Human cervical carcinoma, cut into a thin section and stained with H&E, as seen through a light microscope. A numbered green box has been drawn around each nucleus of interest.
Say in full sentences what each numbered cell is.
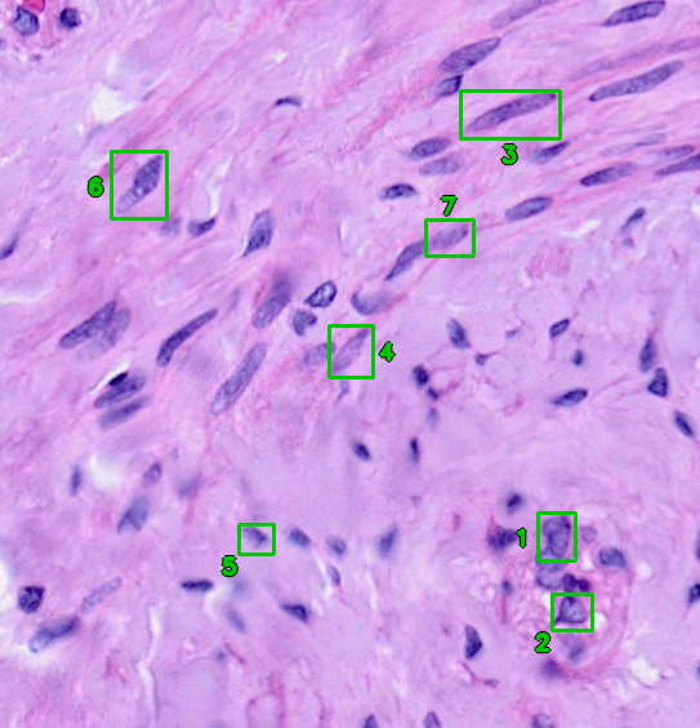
Cell 1 is an endothelial cell, cell 2 is an endothelial cell, cell 3 is a smooth muscle cell, cell 4 is a smooth muscle cell, cell 5 is a fibroblast, cell 6 is a fibroblast and cell 7 is a smooth muscle cell.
